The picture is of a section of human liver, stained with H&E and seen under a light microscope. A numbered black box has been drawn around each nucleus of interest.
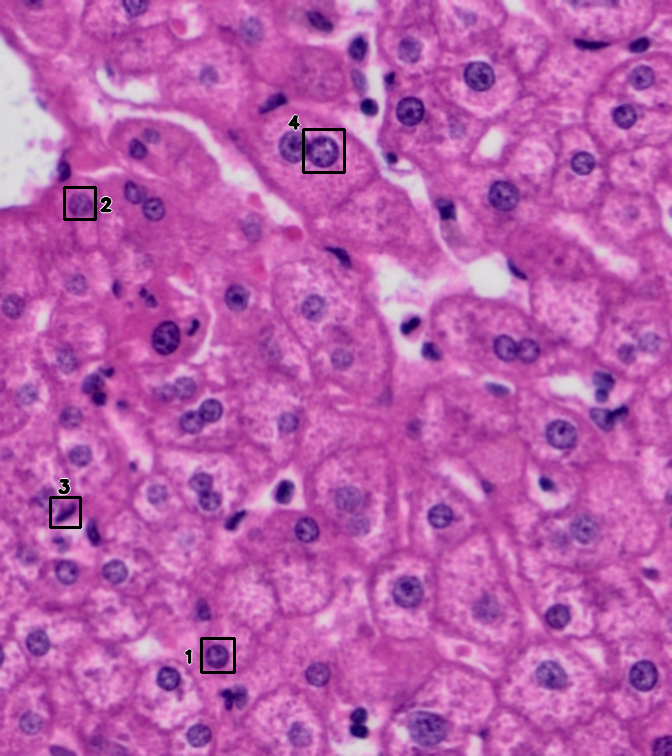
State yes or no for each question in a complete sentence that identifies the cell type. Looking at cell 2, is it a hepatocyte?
Yes, the numbered cell 2 is identified as a hepatocyte.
